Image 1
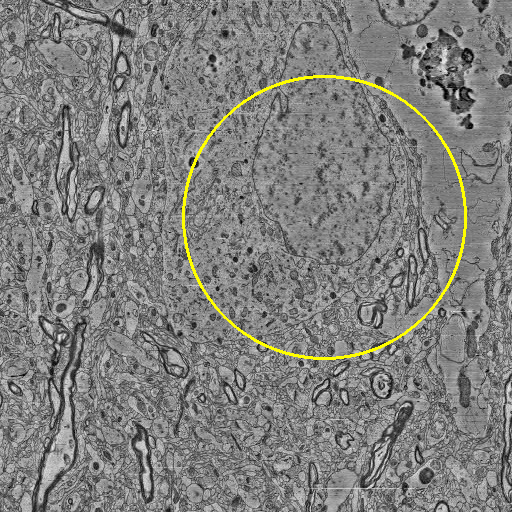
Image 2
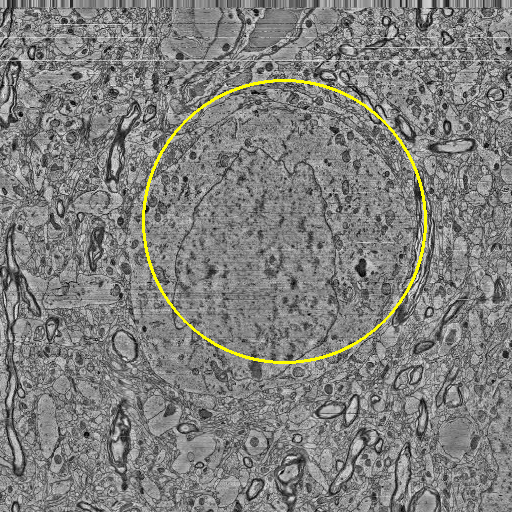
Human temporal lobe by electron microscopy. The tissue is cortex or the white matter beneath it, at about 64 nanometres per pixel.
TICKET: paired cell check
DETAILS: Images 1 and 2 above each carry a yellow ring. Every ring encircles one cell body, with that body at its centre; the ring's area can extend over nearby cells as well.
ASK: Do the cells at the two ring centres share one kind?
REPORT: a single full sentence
Yes, the ring-centre cells of Images 1 and 2 belong to a single kind.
